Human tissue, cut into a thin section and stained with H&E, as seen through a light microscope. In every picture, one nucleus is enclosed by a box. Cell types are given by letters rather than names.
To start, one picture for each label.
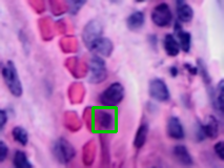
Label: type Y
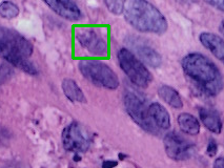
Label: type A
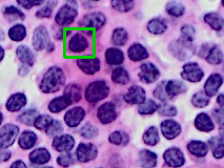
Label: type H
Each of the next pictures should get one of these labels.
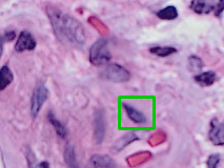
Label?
type Y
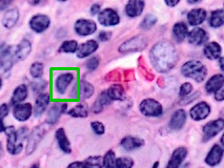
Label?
type H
